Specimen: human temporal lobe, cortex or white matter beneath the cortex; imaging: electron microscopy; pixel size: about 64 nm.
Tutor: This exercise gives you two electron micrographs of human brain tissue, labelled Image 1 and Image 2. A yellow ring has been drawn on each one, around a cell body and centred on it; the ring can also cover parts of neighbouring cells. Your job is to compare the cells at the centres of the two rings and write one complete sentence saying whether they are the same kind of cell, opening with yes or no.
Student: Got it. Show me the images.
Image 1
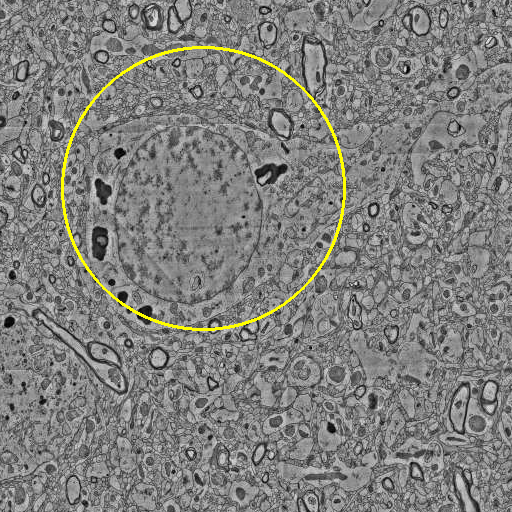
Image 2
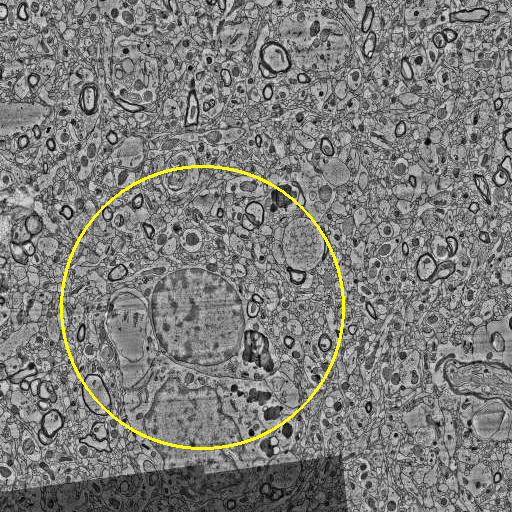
No, the two cells belong to two kinds.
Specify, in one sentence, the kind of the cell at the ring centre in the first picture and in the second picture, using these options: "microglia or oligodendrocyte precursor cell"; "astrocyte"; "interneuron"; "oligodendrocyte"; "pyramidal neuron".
So the first is a pyramidal neuron, the second an oligodendrocyte.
